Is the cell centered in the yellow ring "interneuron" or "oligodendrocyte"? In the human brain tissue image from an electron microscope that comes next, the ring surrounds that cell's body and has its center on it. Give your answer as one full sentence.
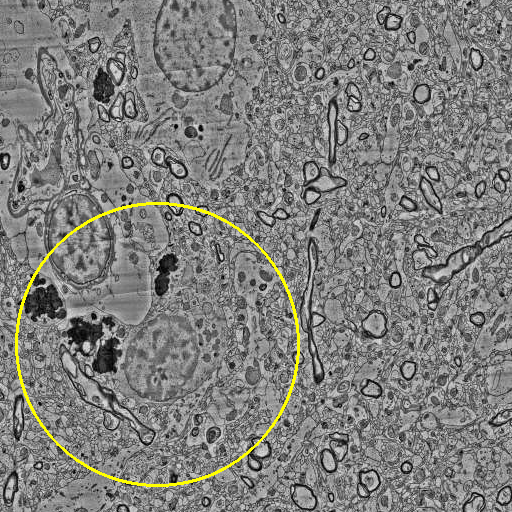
The cell at the center of the yellow ring is an oligodendrocyte in the micrograph.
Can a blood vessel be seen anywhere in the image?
Yes, there is a blood vessel.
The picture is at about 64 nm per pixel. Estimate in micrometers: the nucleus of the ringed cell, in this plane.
The nucleus of the ringed cell is approximately 6 by 4 micrometres in this plane.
